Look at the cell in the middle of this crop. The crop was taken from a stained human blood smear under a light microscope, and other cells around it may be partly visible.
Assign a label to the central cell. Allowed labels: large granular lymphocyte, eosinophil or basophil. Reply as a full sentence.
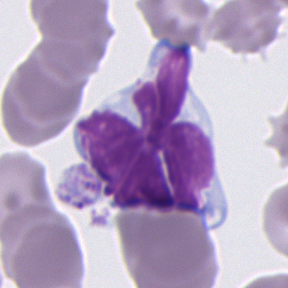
The center cell of this crop is a large granular lymphocyte.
